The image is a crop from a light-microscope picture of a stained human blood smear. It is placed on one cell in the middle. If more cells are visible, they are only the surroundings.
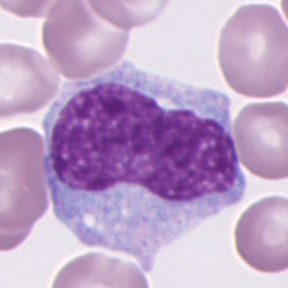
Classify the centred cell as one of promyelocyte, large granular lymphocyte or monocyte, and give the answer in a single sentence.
Centrally within this crop lies a monocyte.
